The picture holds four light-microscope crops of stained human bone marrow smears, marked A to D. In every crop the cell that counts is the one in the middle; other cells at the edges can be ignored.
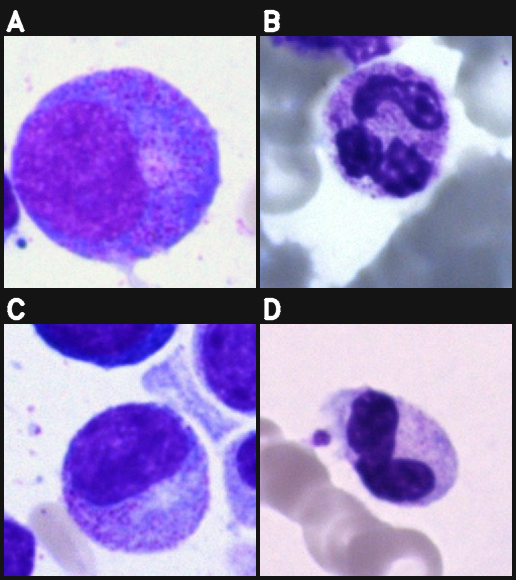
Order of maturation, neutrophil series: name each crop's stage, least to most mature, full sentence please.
Least mature first and most mature last, the sequence is crop A (a promyelocyte), crop C (a myelocyte), crop D (a band neutrophil) and crop B (a segmented neutrophil).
